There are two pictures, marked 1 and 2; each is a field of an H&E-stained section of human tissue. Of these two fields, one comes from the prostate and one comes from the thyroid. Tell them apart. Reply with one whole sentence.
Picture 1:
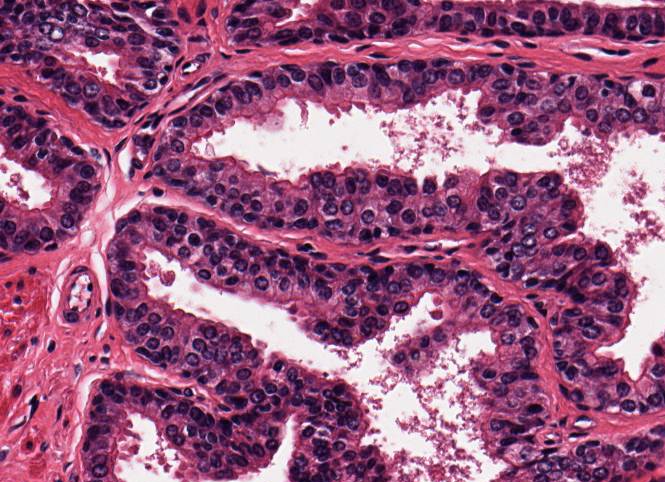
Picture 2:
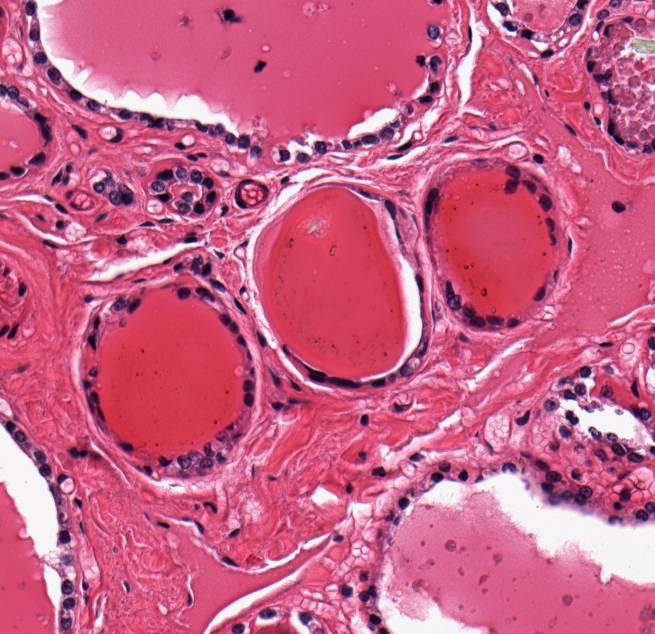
It is picture 1 that comes from the prostate, and picture 2 that comes from the thyroid.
